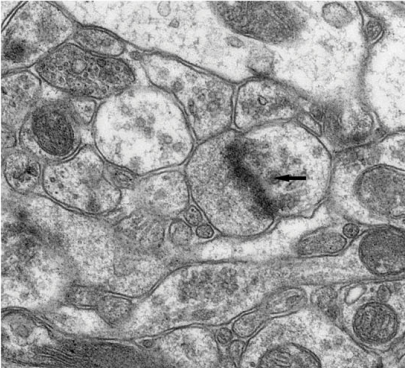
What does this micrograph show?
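This is an electron micrograph of neuropil showing a synapse between tightly packed neuronal profiles. In the centre a dark, electron-dense band lines one side of a membrane contact, the thickening typical of a postsynaptic density, and the profile opposite it contains small round vesicles. Some profiles are pale and nearly empty, others have a finer granular content. Membranes are crisp and the profiles fit closely together with little space between them.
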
